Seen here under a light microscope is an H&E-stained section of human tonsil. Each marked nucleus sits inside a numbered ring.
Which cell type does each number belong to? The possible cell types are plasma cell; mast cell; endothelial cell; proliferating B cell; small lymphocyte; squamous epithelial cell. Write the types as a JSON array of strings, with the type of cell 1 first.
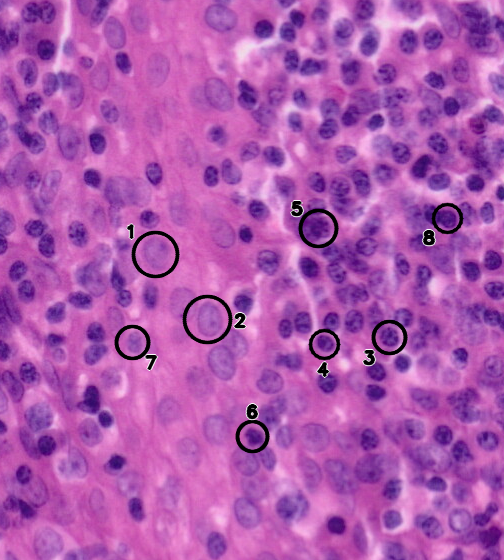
["squamous epithelial cell", "squamous epithelial cell", "plasma cell", "plasma cell", "squamous epithelial cell", "squamous epithelial cell", "squamous epithelial cell", "plasma cell"]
